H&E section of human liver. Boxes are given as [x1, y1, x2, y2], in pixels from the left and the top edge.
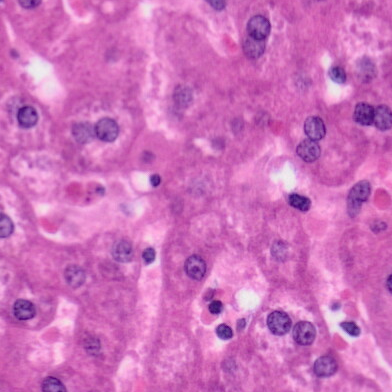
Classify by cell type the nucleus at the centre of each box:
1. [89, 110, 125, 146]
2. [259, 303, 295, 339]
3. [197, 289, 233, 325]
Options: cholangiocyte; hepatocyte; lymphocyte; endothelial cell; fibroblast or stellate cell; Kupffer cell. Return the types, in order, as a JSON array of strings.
["hepatocyte", "hepatocyte", "lymphocyte"]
